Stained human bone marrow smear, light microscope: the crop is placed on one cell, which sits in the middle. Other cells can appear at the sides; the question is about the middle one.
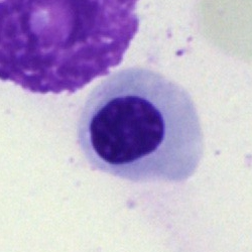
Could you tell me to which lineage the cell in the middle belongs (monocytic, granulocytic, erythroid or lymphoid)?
erythroid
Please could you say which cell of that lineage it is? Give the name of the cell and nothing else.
erythroblast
